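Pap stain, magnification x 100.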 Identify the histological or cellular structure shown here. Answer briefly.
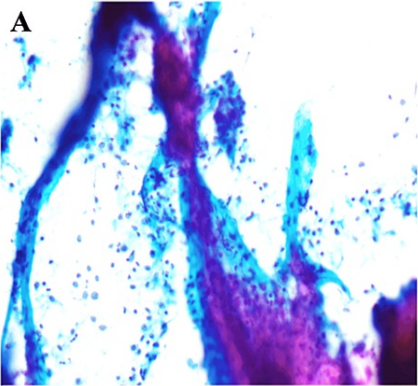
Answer: fibrovascular structures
